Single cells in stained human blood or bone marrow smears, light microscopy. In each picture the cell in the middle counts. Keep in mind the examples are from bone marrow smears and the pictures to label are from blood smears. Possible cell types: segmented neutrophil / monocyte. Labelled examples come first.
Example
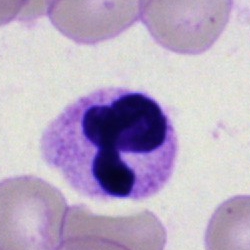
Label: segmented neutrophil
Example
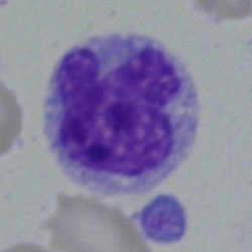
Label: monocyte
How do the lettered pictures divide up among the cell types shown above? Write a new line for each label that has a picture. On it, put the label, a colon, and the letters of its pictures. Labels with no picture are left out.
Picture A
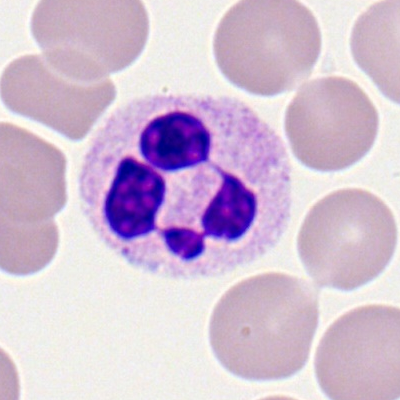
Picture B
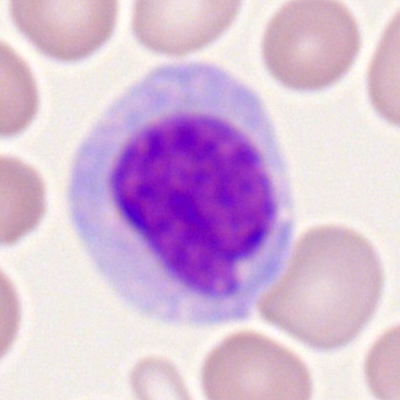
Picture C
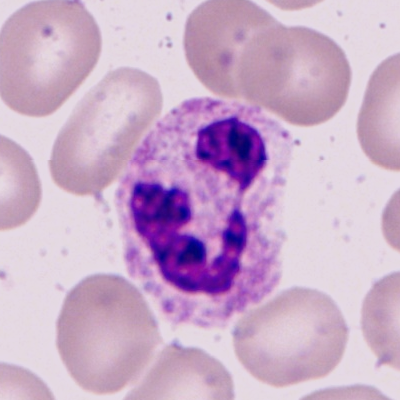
segmented neutrophil: A, C
monocyte: B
